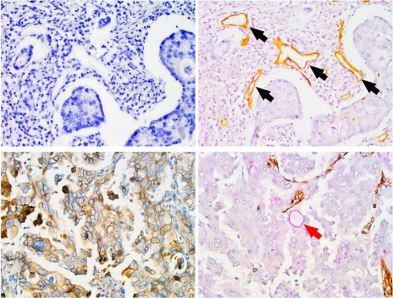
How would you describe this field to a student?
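The upper left field shows tumor glands of crowded epithelial cells with blue nuclei set in pale stroma, with no brown stain. The lower left field shows sheets of tumor cells with strong brown staining of their membranes and cytoplasm. In the upper right field, black arrows mark narrow vessel channels lined by brown-stained flattened cells that run through the stroma between pale pink tumor nests. In the lower right field, a red arrow marks a small round channel with a pink-purple rim and no brown lining lying among tumor cells, while brown-lined vessels sit at the field's edge.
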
